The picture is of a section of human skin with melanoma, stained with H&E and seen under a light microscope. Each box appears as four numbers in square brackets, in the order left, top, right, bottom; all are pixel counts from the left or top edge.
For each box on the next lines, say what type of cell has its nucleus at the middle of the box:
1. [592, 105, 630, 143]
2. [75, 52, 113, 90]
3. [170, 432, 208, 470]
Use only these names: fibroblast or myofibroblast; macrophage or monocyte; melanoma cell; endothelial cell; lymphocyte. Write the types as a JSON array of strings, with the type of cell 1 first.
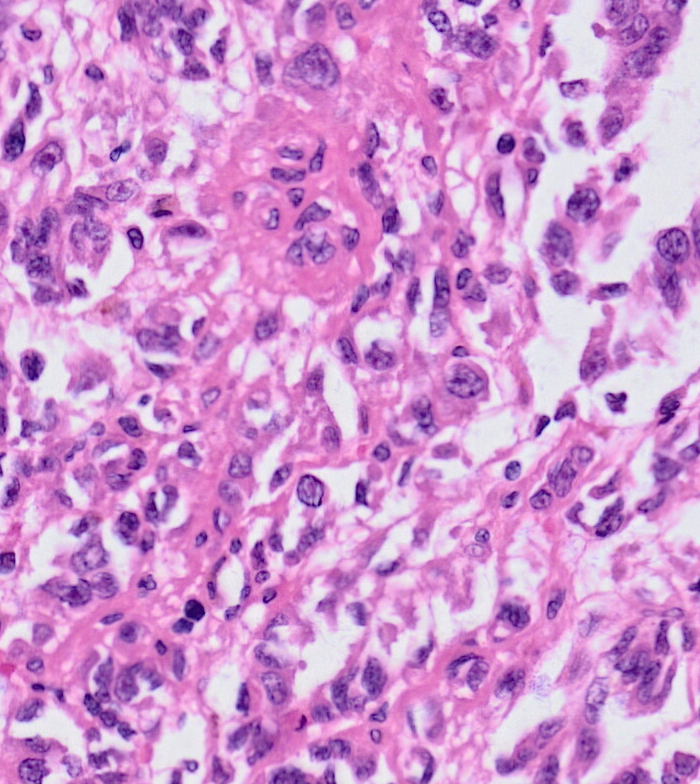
["melanoma cell", "macrophage or monocyte", "melanoma cell"]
